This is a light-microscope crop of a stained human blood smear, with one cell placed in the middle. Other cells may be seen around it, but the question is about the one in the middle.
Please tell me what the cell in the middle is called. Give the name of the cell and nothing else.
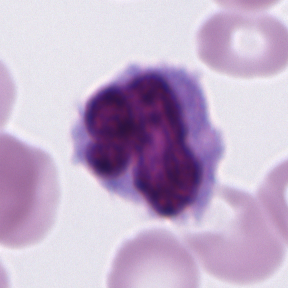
monocyte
